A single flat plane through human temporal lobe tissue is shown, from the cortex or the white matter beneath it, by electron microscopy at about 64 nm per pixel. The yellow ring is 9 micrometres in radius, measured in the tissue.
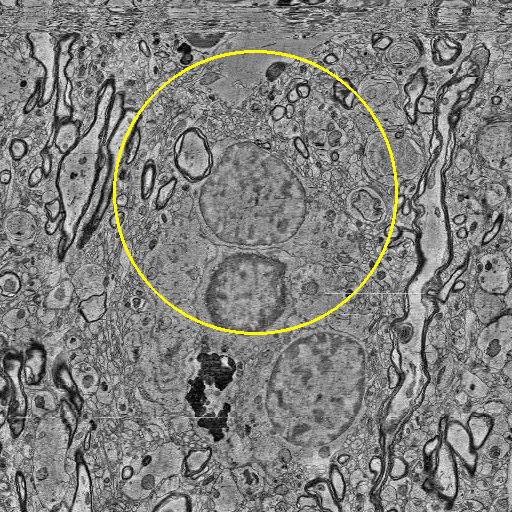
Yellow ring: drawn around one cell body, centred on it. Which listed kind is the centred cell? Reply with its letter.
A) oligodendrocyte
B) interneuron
A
